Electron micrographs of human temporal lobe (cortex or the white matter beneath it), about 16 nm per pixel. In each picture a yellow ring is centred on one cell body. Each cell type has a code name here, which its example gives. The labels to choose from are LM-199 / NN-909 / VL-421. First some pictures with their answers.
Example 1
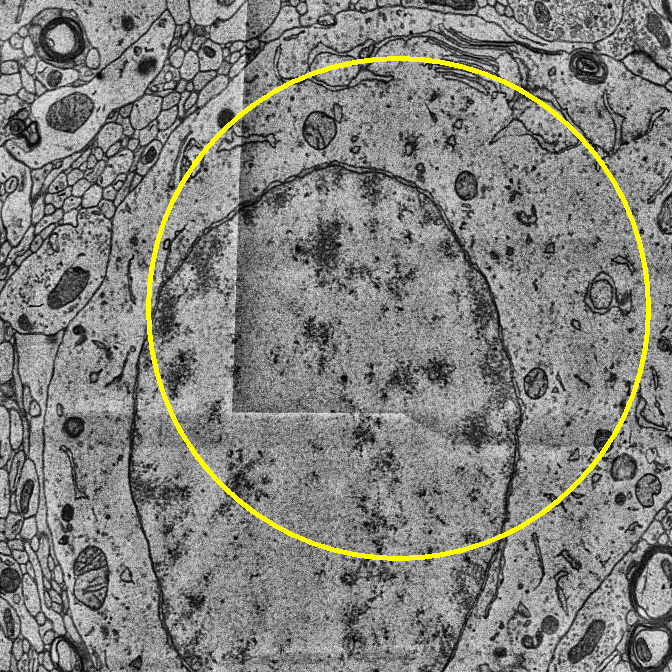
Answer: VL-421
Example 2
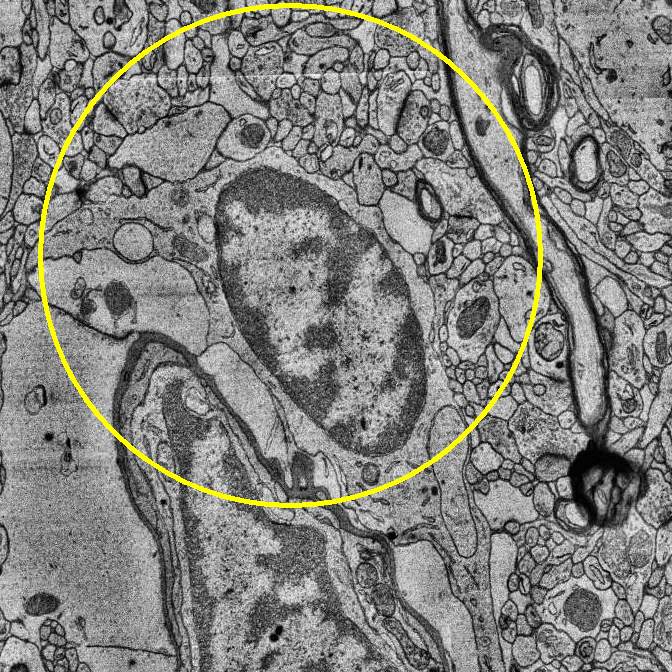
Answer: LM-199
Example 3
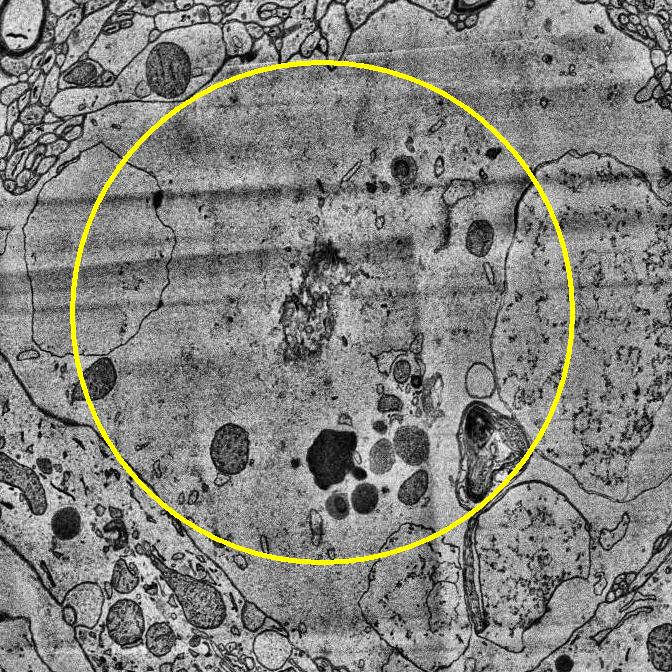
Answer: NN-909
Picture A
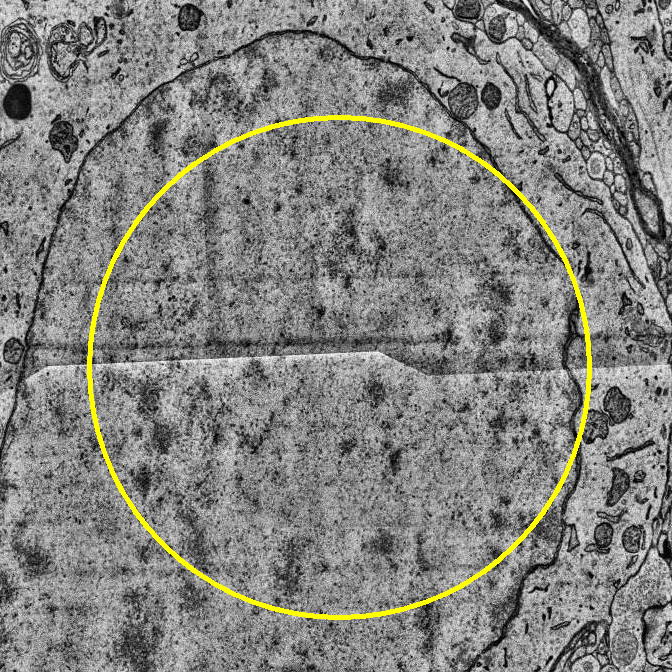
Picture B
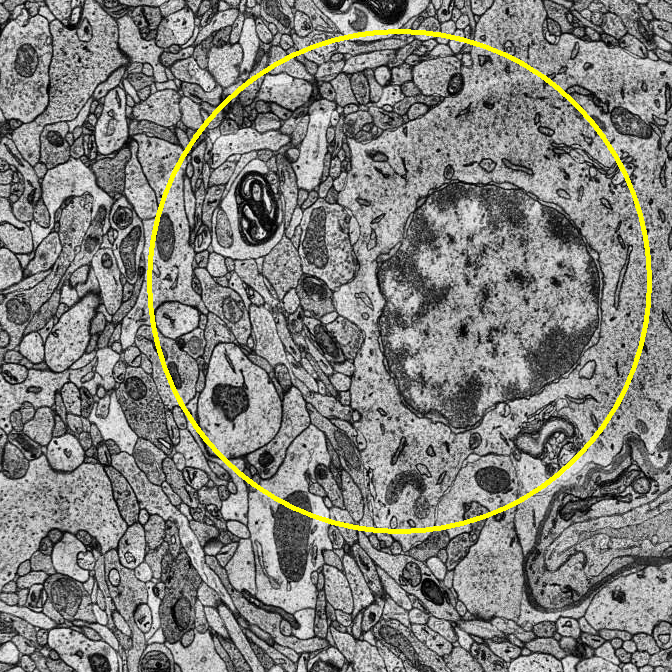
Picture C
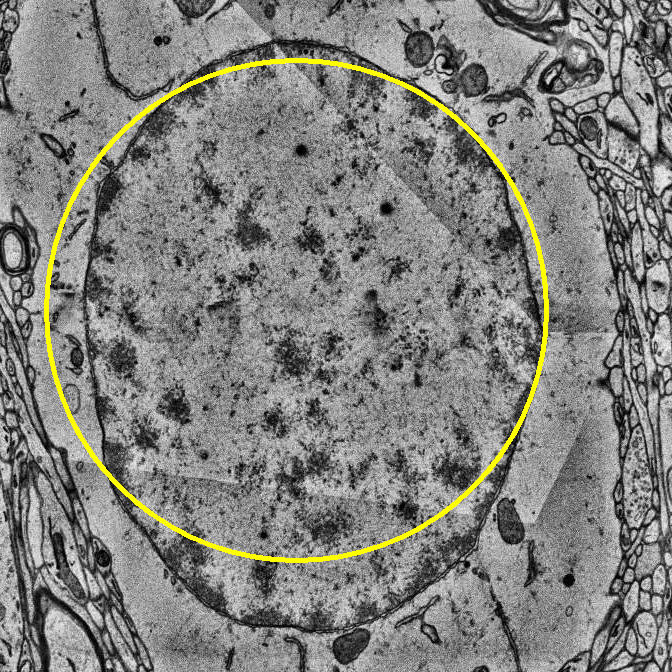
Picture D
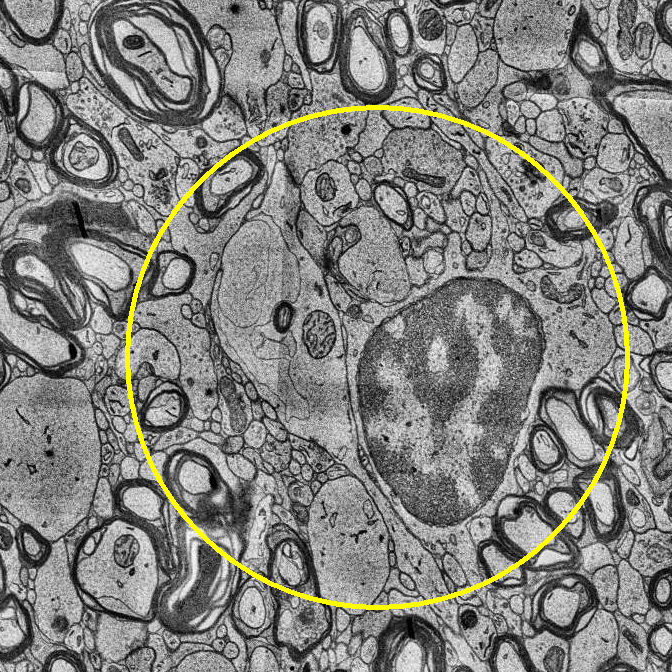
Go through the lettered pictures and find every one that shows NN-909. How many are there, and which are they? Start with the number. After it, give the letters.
1, namely C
